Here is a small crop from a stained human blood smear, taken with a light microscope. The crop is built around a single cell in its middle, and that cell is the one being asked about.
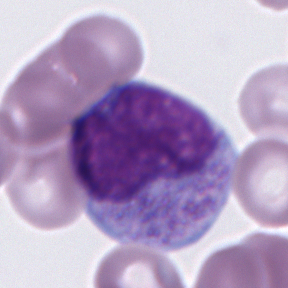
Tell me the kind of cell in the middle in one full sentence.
Positioned in the middle of the crop is a myelocyte.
